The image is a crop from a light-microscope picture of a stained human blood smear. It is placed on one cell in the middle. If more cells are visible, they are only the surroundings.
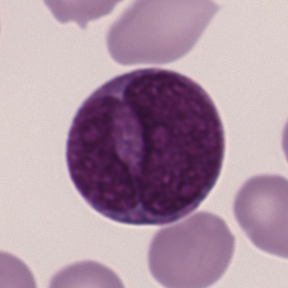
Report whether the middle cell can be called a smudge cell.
no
